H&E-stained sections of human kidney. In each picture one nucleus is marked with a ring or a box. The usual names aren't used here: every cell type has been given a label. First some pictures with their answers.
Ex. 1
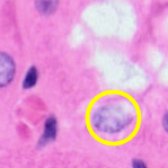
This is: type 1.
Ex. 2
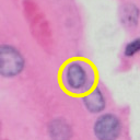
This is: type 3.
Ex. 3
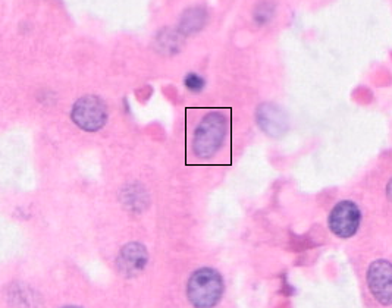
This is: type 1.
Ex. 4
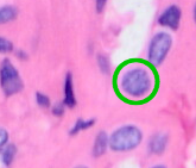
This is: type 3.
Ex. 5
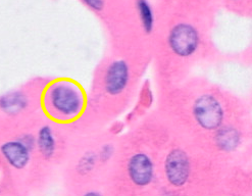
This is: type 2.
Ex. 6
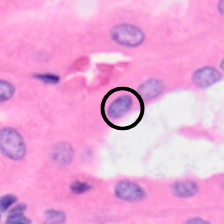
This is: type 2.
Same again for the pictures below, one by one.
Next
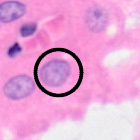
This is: type 1.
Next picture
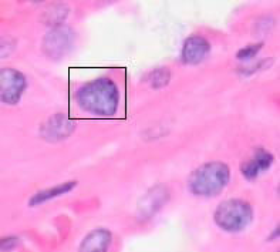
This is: type 2.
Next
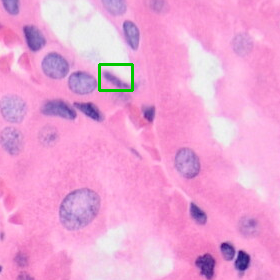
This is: type 3.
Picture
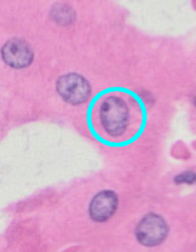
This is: type 1.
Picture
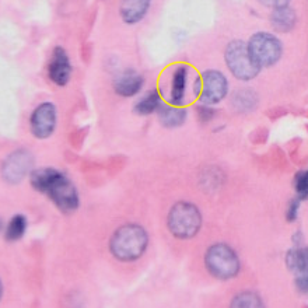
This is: type 3.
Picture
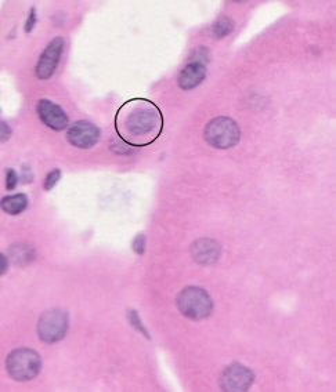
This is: type 3.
